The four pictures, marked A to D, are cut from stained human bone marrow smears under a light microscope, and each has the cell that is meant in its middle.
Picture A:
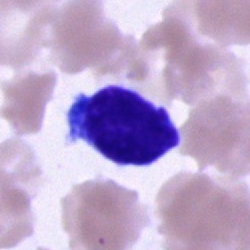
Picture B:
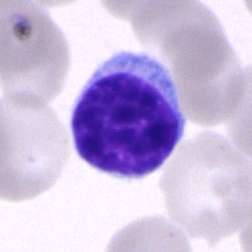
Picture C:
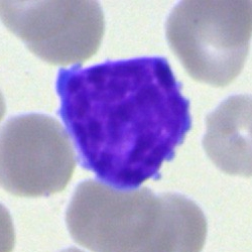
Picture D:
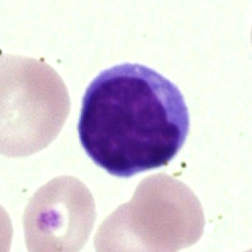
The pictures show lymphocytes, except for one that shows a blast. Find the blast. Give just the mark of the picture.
C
